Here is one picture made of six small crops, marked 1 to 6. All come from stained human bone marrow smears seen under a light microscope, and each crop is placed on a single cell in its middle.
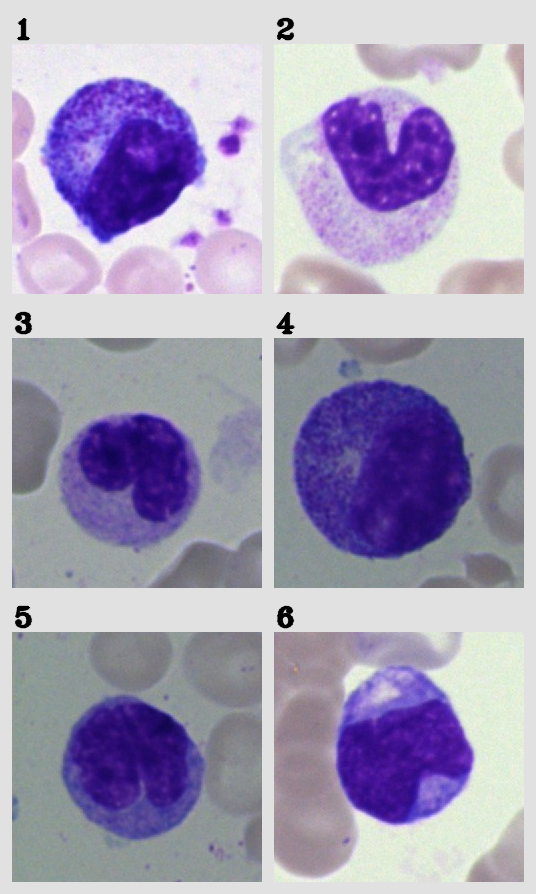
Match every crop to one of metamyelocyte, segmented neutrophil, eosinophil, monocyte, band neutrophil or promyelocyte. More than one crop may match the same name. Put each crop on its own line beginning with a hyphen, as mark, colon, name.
- 1: promyelocyte
- 2: band neutrophil
- 3: band neutrophil
- 4: promyelocyte
- 5: monocyte
- 6: monocyte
